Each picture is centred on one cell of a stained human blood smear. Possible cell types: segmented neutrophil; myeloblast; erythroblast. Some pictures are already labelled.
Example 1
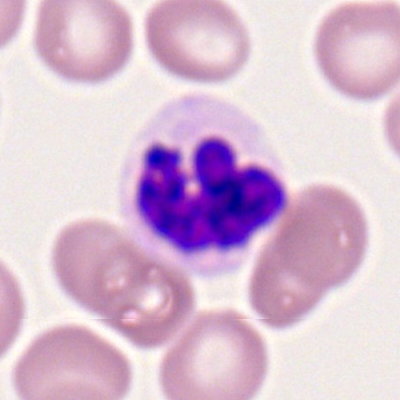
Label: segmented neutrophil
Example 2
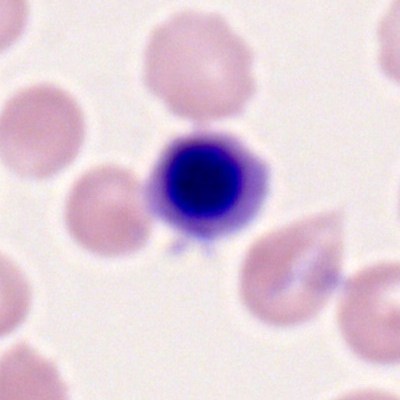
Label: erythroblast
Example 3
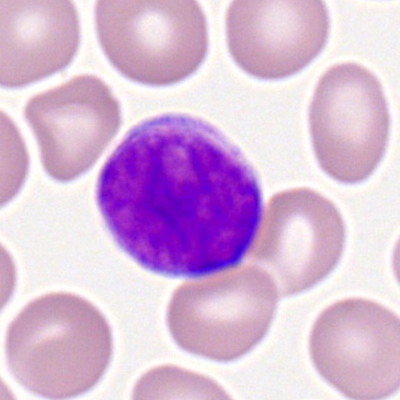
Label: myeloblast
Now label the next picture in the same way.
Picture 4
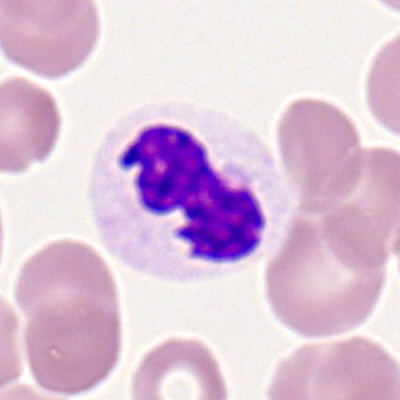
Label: segmented neutrophil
